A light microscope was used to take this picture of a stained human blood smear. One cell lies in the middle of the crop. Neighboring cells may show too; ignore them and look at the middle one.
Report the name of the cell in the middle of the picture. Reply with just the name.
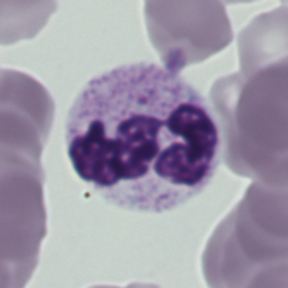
segmented neutrophil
